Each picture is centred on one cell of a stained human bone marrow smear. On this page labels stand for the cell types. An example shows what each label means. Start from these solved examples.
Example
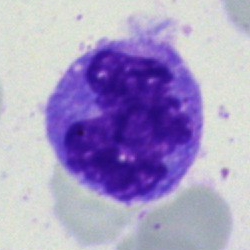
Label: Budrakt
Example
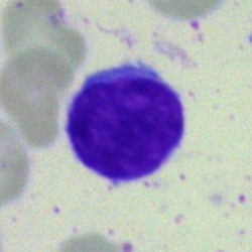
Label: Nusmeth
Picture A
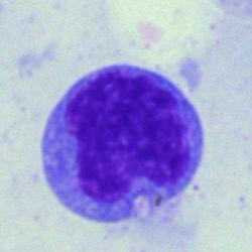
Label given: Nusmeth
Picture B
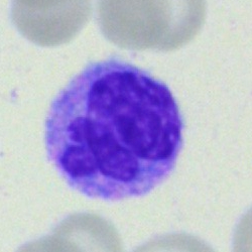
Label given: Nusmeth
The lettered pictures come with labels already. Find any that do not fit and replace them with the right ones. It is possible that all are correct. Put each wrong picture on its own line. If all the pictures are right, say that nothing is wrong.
A: Budrakt, not Nusmeth
B: Budrakt, not Nusmeth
